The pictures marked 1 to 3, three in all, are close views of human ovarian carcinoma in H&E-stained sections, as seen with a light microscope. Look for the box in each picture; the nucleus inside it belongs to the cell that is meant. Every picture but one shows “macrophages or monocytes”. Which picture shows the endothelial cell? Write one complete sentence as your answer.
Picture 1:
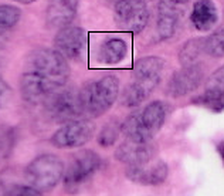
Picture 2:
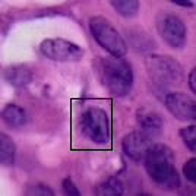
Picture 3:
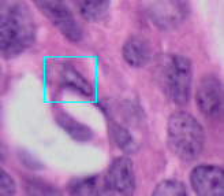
Picture 3 is the one that shows the endothelial cell.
